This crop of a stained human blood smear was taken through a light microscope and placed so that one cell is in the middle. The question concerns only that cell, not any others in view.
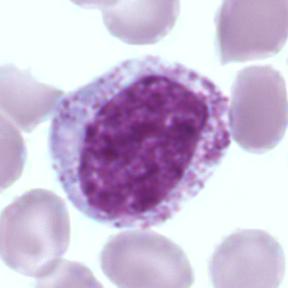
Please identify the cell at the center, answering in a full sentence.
Present in the middle of the crop is a myelocyte.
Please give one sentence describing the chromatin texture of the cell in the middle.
Just so you know, its chromatin is coarsely clumped.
